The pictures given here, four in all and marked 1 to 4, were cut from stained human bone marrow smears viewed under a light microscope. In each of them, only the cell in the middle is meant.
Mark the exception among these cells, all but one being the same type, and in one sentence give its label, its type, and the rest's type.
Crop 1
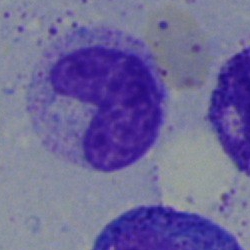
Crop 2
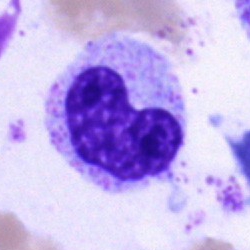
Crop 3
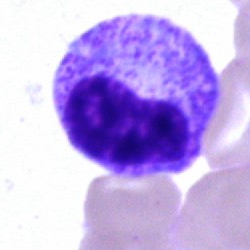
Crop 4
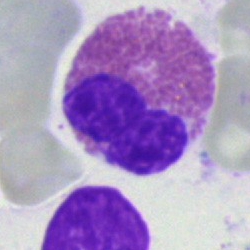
Crop 4 presents an eosinophil, while metamyelocytes are presented by all other crops.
